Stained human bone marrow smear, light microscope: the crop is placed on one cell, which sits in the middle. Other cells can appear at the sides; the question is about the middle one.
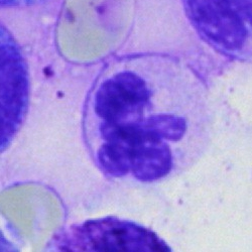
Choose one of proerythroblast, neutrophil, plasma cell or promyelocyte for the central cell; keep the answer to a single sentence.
Looking at the middle of the crop, the cell there is a neutrophil.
